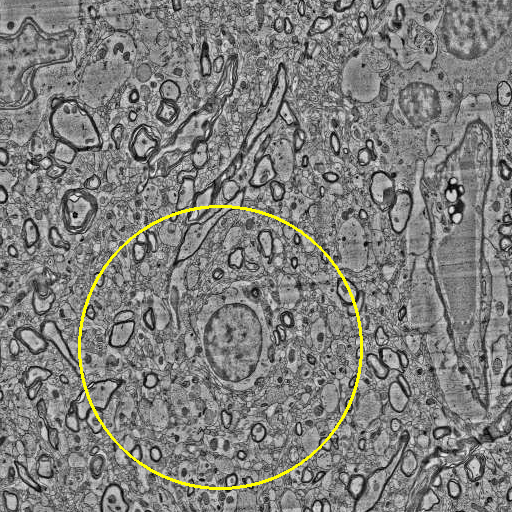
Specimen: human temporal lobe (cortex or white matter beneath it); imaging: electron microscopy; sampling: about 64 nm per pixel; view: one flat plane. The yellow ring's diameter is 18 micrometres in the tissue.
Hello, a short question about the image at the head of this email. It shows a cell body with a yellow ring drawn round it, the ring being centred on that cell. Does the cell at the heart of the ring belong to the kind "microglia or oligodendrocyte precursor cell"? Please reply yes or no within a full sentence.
Yes, the cell at the heart of the ring in that image is of that kind.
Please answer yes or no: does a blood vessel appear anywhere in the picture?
Yes, a blood vessel can be seen.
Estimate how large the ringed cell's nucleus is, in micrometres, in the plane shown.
Approximately 5 x 4 micrometres in this plane.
